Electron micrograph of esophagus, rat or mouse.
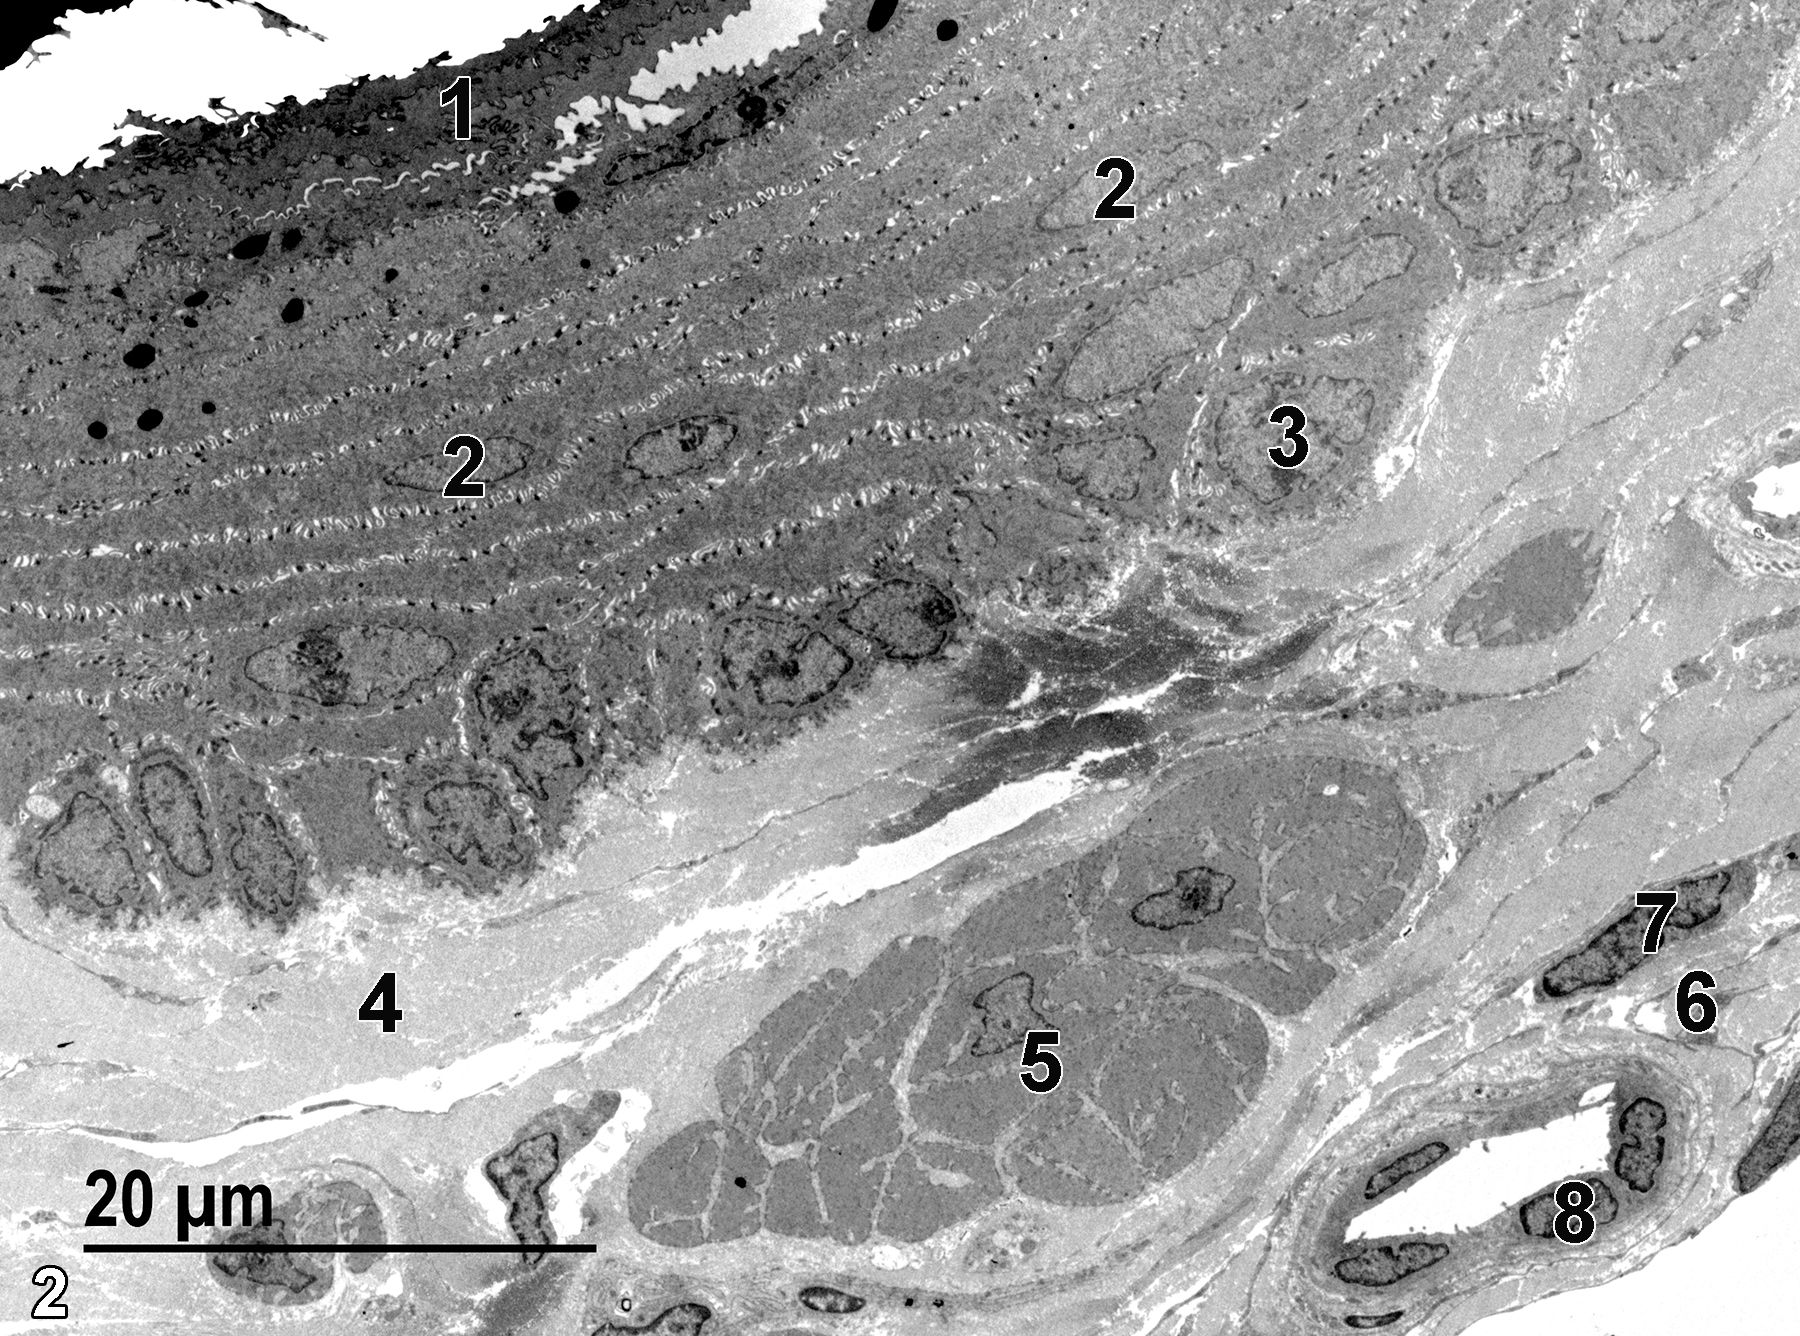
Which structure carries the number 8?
Endothelial nucleus of a small vessel.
